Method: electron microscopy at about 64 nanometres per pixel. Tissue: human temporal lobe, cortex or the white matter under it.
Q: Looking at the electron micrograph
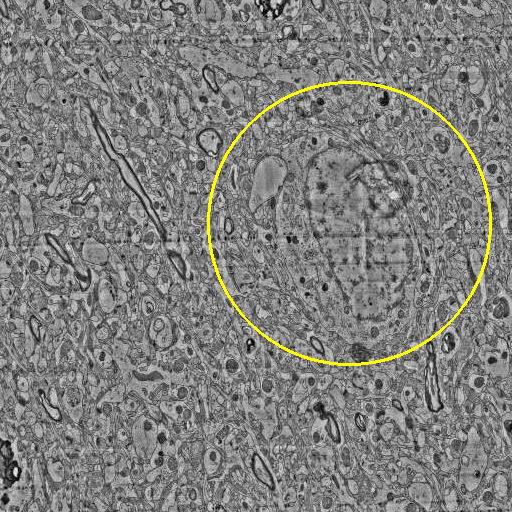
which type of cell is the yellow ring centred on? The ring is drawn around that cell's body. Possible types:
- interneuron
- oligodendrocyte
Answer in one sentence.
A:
The yellow ring is centred on an interneuron.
